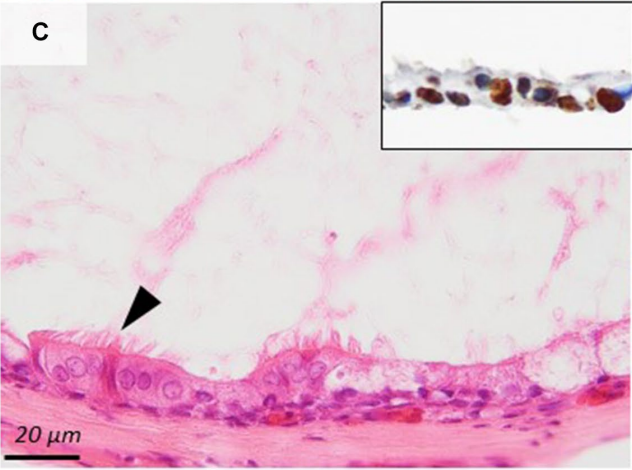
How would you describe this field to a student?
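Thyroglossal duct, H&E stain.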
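The wall of a cyst is lined by one to two rows of cuboidal epithelial cells bearing fine cilia that project into the lumen. The cells have round to oval nuclei and pink cytoplasm; some cells are paler and vacuolated, consistent with goblet cells. Beneath the lining lies a band of dense, pink fibrous connective tissue containing small vessels with red blood cells. The lumen above holds pale pink, wispy material. The inset shows a strip of lining cells whose nuclei are stained brown against a blue counterstain.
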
